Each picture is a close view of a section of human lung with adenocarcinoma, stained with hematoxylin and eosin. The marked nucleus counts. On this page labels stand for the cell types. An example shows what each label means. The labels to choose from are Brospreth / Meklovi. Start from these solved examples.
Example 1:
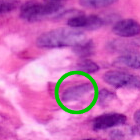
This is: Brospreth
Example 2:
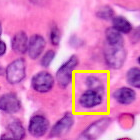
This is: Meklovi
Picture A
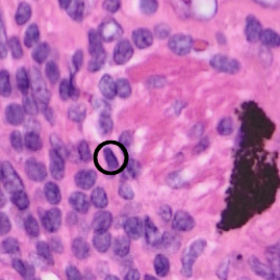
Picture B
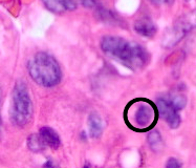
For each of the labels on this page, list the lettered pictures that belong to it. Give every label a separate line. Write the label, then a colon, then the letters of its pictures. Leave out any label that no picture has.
Meklovi: A, B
